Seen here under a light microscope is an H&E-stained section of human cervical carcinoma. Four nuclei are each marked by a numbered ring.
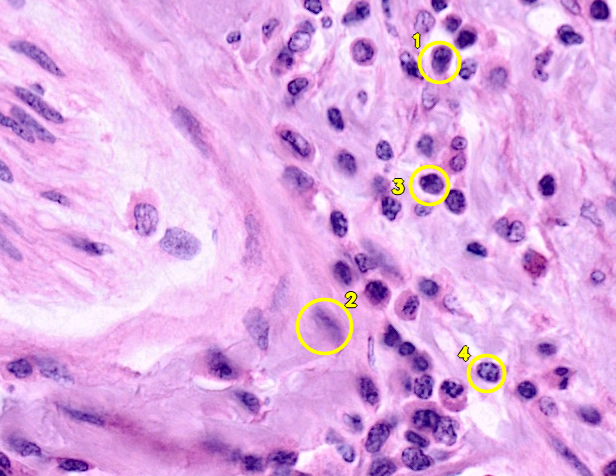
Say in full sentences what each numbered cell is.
Cell 1 is a lymphocyte, cell 2 is a fibroblast, cell 3 is a lymphocyte and cell 4 is a lymphocyte.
